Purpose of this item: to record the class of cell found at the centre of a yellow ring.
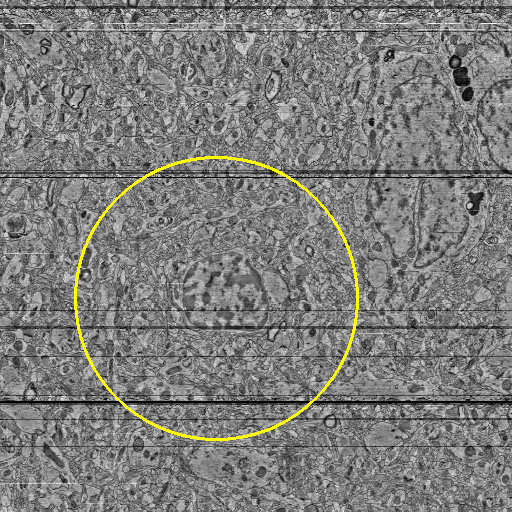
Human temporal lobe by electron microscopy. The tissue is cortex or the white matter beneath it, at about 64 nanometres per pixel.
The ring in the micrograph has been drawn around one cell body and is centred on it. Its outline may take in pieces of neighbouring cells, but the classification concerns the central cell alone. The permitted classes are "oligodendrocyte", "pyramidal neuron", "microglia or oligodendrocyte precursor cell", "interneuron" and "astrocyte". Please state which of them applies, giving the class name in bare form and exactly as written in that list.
microglia or oligodendrocyte precursor cell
